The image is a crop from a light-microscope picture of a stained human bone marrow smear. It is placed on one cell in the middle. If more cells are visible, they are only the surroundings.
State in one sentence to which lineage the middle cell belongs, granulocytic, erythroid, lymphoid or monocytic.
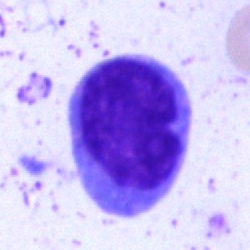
The centered cell should be recorded as belonging to the monocytic lineage.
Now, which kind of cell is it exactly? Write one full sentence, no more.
The cell centered in this field of view is a monocyte.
